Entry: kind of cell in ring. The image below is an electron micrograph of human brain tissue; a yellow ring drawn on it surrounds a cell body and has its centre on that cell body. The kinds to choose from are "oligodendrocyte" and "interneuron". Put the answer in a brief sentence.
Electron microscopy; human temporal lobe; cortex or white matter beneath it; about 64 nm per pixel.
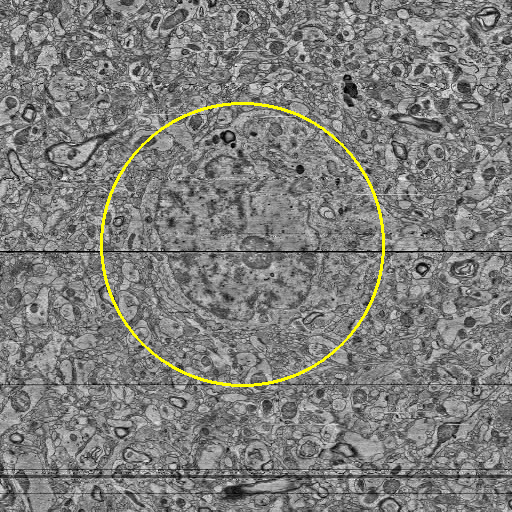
The ring has been drawn around an interneuron.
